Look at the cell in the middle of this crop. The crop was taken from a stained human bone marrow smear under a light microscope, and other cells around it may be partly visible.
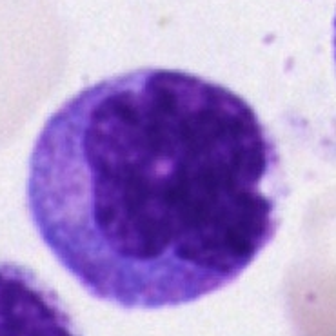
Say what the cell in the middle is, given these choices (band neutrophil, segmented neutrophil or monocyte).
monocyte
